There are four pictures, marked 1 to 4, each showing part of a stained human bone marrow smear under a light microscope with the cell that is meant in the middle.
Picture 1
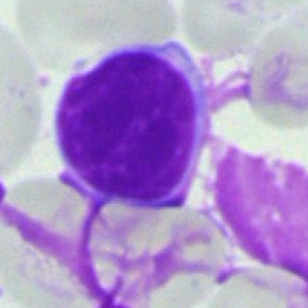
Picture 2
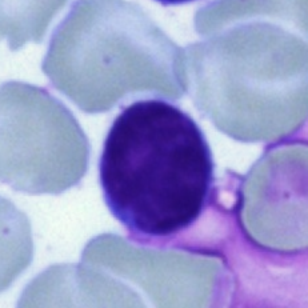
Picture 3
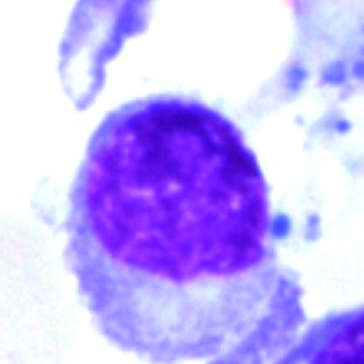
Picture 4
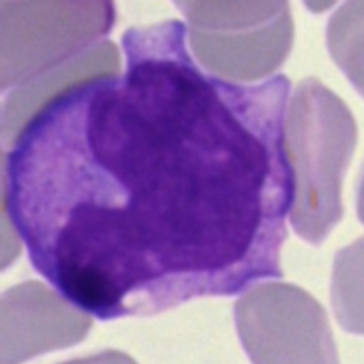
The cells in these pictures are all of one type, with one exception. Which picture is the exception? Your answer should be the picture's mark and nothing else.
4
